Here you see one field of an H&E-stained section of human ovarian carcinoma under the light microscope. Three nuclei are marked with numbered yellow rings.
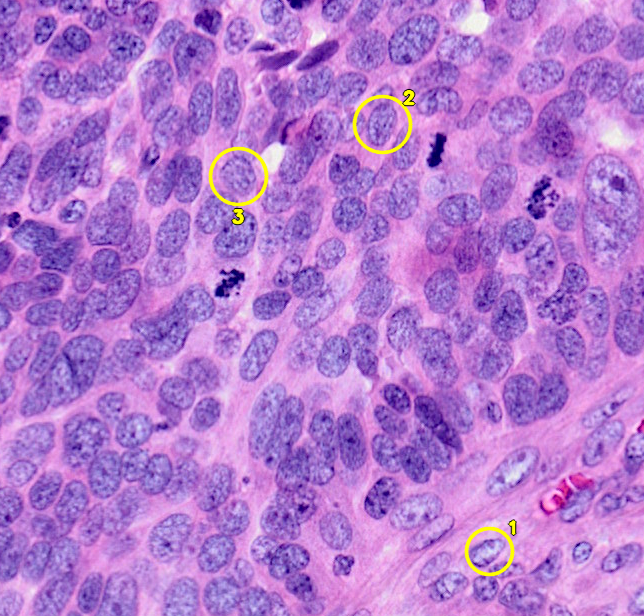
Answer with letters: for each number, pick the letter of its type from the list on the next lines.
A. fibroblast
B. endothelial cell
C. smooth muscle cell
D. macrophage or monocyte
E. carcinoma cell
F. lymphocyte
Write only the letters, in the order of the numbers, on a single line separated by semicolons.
A; E; E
